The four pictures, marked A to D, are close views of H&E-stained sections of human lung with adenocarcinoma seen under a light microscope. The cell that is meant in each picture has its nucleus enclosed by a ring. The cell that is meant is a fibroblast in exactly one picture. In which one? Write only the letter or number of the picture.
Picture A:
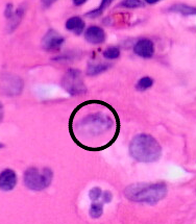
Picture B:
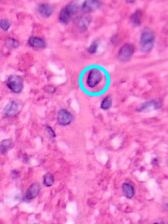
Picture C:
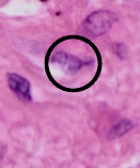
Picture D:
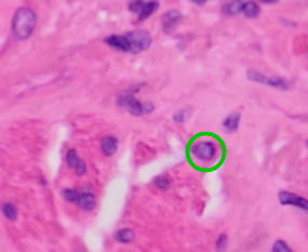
C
